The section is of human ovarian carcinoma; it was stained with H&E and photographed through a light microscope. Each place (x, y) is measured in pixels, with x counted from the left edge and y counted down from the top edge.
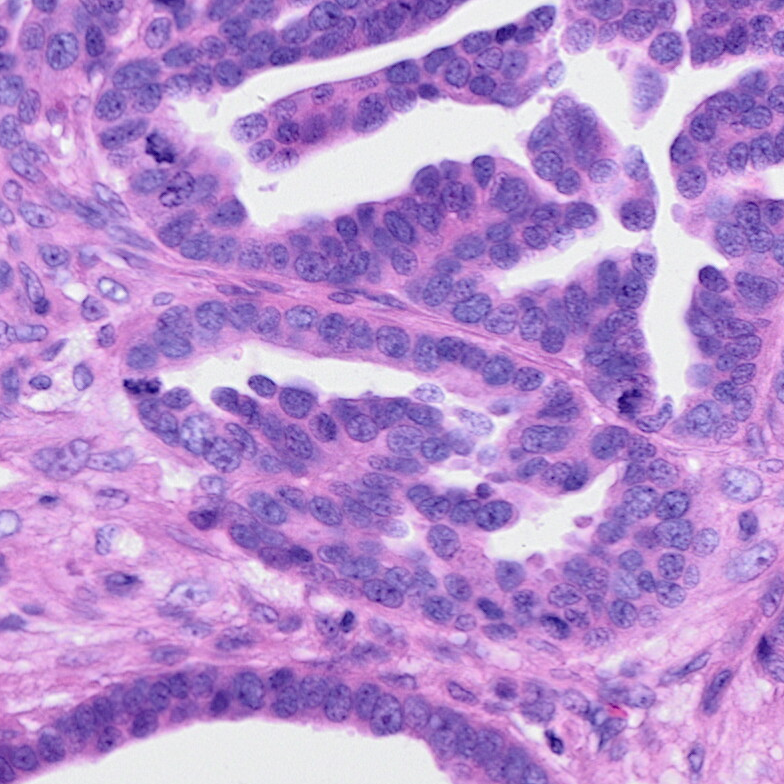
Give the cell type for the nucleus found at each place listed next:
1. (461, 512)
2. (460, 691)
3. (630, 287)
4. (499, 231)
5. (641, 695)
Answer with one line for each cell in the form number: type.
1: carcinoma cell
2: macrophage or monocyte
3: carcinoma cell
4: carcinoma cell
5: endothelial cell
